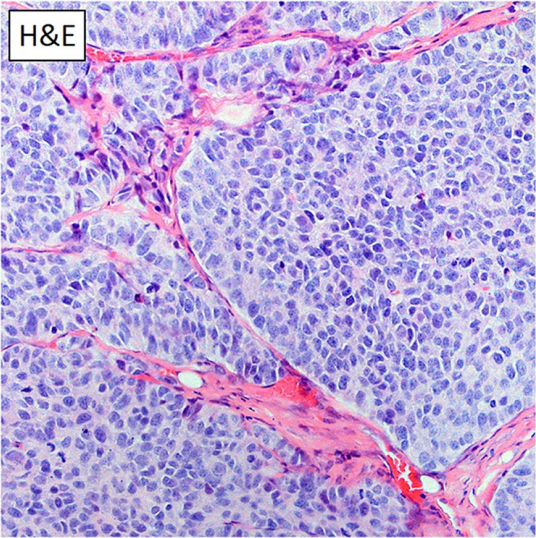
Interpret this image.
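This is a tumour made of crowded tumour cells arranged in large solid nests, separated by thin pink fibrous septa. The septa carry small blood vessels, some holding red blood cells.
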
